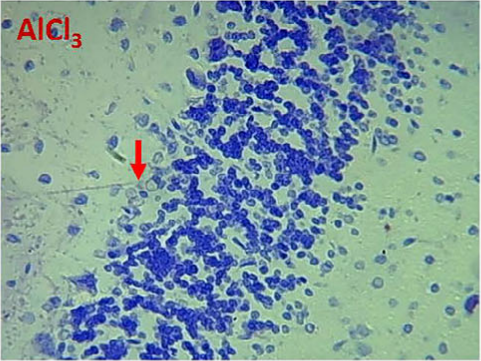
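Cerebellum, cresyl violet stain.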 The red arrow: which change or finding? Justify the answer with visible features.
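Loss of Purkinje cell layer. The arrow points to the edge of the dense small-celled layer where no row of large cell bodies is seen. The cells along this edge are small and pale rather than large and deeply stained.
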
